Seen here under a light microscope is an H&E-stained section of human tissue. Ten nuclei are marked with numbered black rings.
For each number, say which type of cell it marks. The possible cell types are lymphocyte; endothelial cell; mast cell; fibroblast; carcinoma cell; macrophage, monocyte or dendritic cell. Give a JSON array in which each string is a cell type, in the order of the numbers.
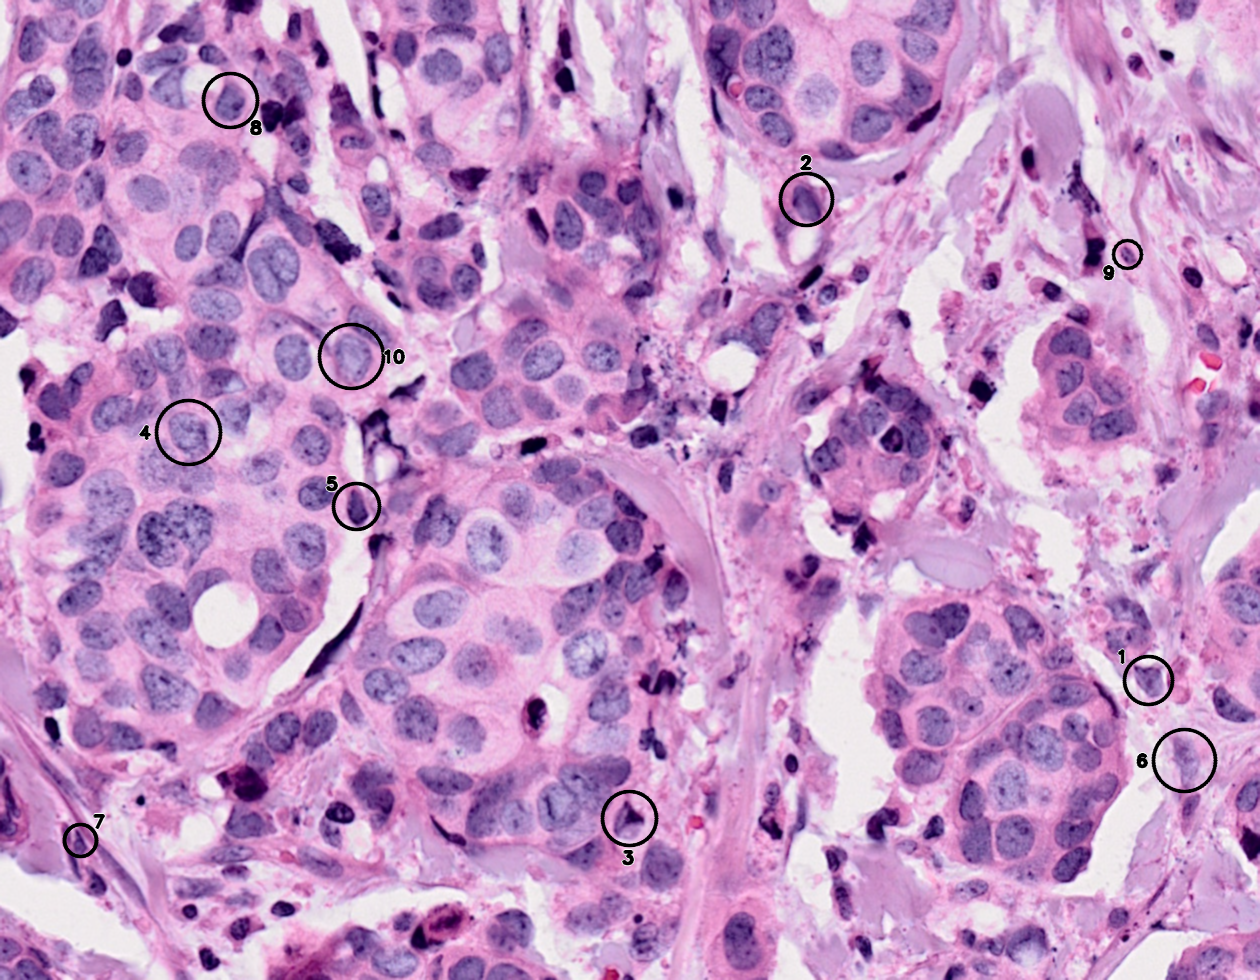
["fibroblast", "carcinoma cell", "carcinoma cell", "carcinoma cell", "carcinoma cell", "fibroblast", "fibroblast", "carcinoma cell", "mast cell", "carcinoma cell"]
